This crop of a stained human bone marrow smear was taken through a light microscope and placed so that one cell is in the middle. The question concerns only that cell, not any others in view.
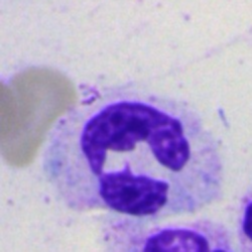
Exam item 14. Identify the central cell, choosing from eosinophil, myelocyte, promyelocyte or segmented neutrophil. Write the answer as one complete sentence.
The single cell at the center of the crop is a segmented neutrophil.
